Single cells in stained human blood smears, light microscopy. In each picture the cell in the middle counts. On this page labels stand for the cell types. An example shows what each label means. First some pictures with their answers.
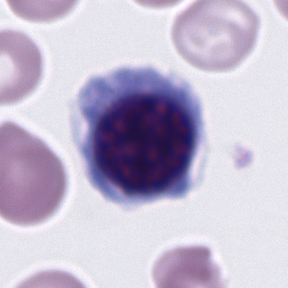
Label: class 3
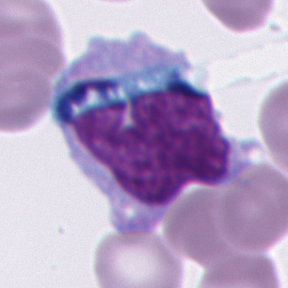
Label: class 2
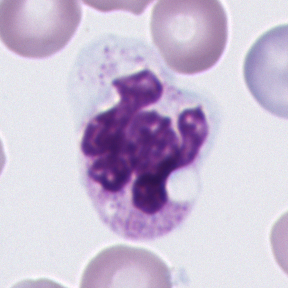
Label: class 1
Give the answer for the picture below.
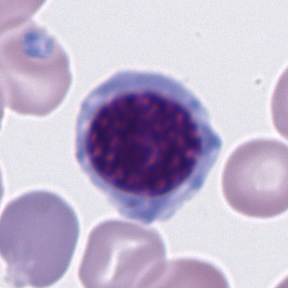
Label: class 3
